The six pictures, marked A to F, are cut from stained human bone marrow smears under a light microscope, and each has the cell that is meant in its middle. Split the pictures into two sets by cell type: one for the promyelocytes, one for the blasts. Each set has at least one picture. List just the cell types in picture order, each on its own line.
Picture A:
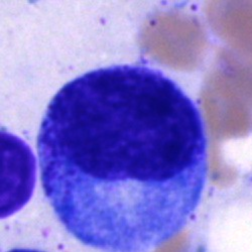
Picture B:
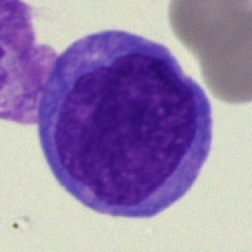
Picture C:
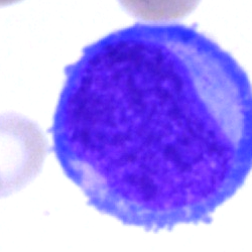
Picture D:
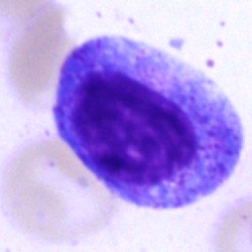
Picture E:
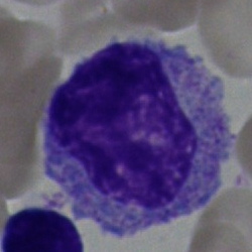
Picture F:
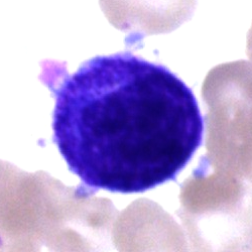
promyelocyte
blast
blast
promyelocyte
promyelocyte
promyelocyte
